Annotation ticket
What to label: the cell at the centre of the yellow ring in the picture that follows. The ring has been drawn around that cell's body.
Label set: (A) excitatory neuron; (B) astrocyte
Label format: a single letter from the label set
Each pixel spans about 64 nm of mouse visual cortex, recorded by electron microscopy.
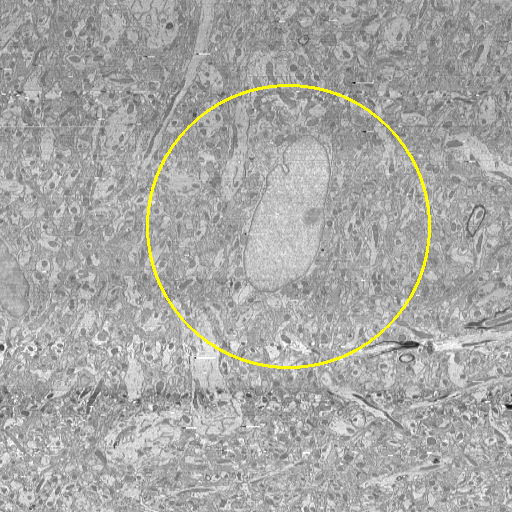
B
